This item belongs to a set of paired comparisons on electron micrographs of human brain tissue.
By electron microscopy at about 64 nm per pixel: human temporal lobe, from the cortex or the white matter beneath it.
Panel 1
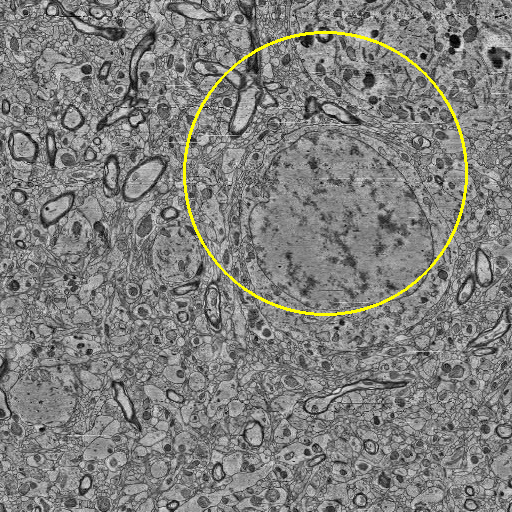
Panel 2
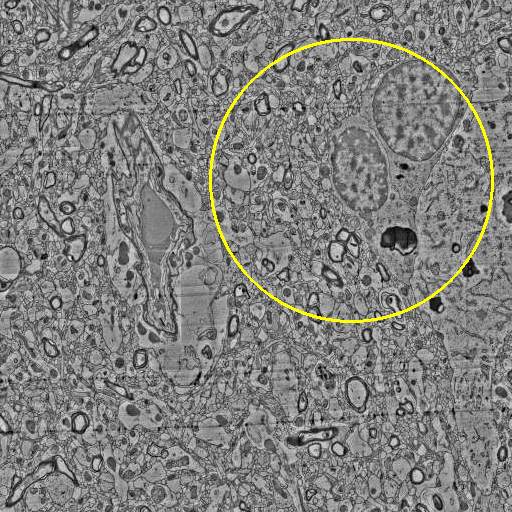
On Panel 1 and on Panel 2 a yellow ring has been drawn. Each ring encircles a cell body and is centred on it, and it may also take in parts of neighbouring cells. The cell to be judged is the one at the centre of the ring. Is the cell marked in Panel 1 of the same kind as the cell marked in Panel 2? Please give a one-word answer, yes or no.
no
